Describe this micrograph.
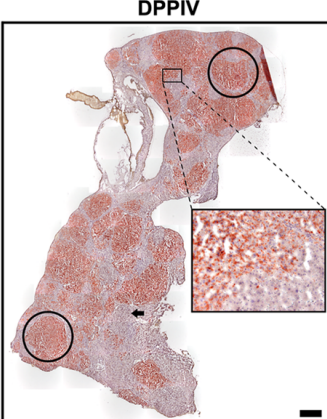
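A whole liver section seen at low magnification shows parenchyma in which large irregular clusters of hepatocytes stain reddish-brown, set against paler, unstained parenchyma. The stained clusters vary in size, some confluent over broad areas, others small and rounded, and two large rounded clusters are circled. Vessel profiles and a strip of loose tissue at the hilum lie between the lobes.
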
